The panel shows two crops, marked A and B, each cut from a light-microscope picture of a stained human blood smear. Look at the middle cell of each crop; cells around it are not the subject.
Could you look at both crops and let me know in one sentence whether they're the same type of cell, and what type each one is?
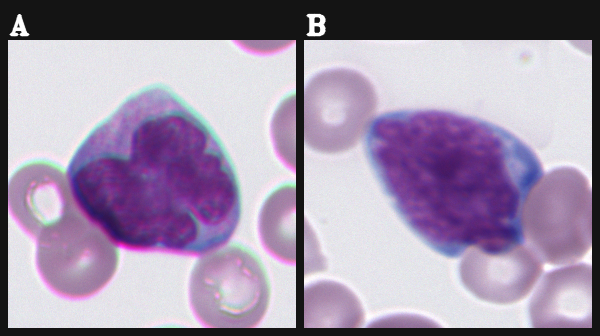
No, crop A displays an atypical promyelocyte and crop B displays a myeloblast.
